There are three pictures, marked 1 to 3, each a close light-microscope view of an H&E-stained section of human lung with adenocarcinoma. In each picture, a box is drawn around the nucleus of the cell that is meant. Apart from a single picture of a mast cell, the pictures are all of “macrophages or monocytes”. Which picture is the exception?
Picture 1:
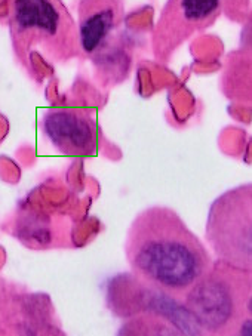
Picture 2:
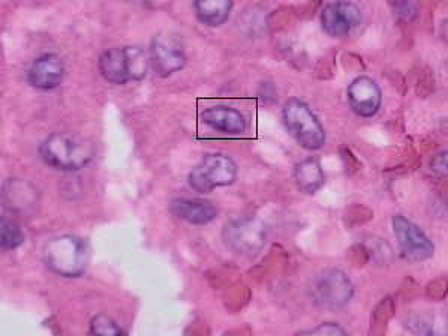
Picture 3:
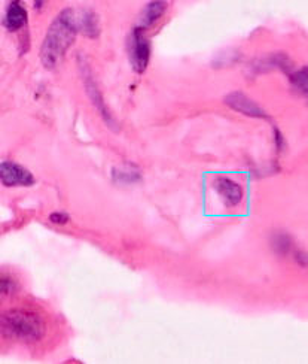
3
